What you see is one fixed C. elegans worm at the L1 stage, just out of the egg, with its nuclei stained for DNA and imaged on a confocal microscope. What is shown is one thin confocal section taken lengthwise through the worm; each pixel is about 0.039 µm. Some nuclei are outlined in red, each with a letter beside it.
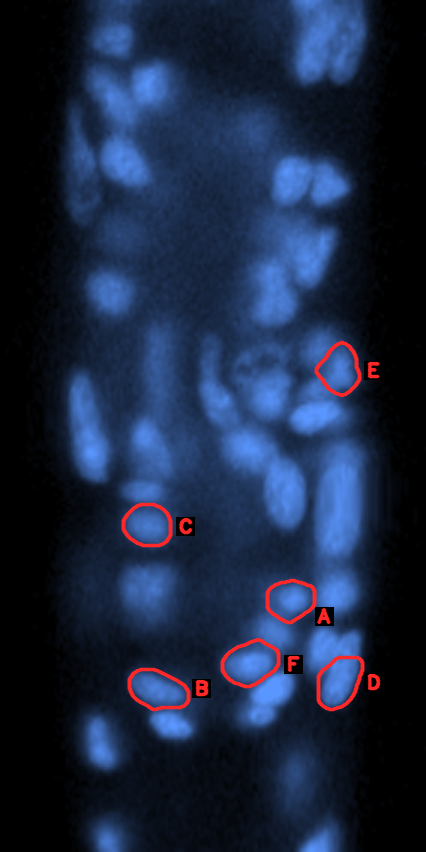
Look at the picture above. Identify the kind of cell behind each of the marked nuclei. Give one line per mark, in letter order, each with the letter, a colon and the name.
A: pharyngeal marginal cell
B: valve cell of the gut
C: neuron
D: neuron
E: neuron
F: pharyngeal muscle cell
